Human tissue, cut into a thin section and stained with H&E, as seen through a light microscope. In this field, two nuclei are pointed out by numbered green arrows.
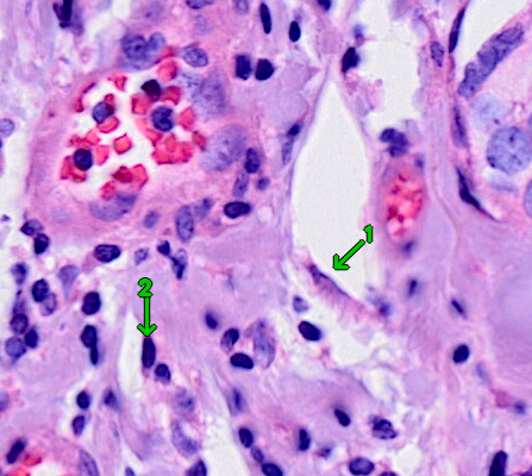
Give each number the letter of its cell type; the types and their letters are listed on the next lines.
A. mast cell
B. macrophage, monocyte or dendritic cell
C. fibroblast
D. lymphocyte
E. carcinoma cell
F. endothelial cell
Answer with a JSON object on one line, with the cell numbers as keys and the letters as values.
{"1": "C", "2": "D"}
